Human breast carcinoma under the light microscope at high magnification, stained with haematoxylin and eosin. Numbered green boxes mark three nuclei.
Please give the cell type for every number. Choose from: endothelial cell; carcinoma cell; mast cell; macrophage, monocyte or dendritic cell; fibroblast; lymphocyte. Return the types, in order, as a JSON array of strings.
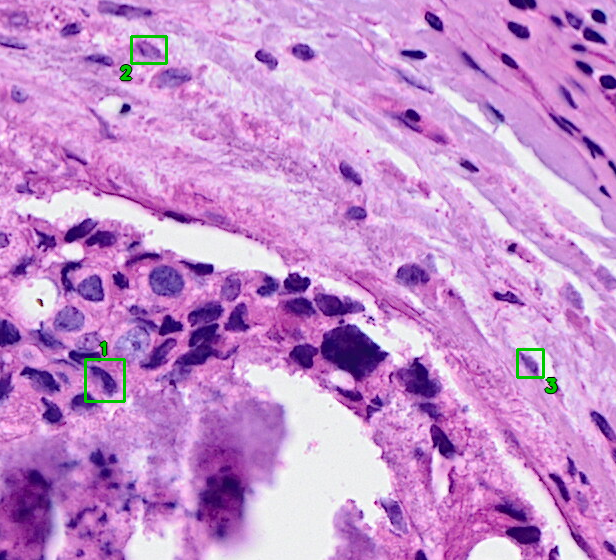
["carcinoma cell", "macrophage, monocyte or dendritic cell", "fibroblast"]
